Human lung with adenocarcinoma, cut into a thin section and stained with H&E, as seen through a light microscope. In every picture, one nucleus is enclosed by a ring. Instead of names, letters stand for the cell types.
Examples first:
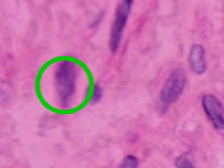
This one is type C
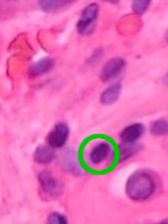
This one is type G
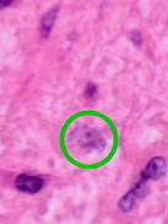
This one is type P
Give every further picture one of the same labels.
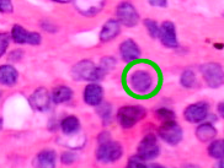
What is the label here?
type G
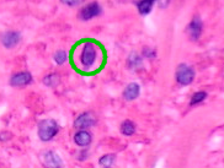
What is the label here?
type C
